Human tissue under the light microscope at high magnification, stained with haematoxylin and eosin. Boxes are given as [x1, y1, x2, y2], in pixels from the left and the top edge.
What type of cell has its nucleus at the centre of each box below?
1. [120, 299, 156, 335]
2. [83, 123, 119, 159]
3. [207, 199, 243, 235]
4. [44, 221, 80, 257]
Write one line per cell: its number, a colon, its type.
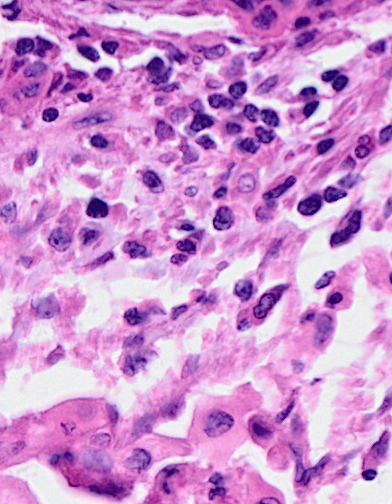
1: lymphocyte
2: lymphocyte
3: lymphocyte
4: macrophage or monocyte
